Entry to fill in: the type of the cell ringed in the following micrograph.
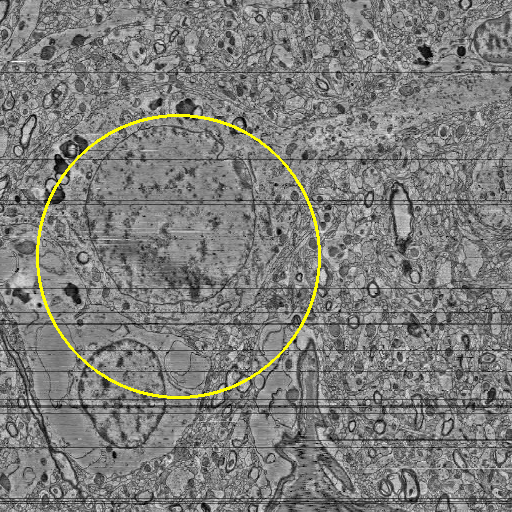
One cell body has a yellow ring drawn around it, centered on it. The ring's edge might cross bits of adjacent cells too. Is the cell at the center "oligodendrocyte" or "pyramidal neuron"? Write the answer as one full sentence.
This entry names a pyramidal neuron as the cell whose body lies at the ring's center.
